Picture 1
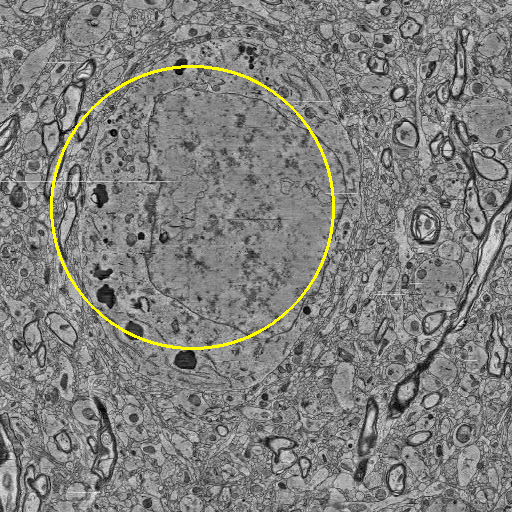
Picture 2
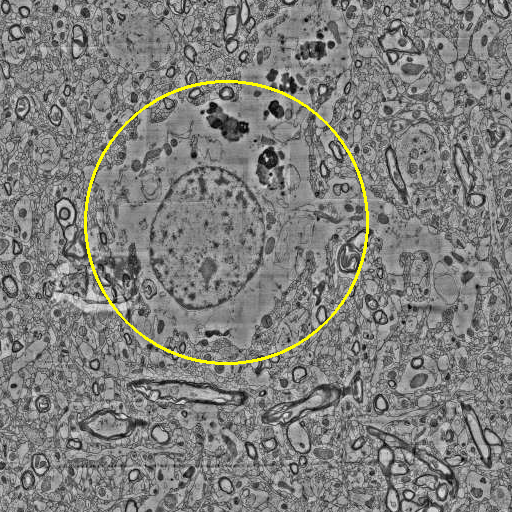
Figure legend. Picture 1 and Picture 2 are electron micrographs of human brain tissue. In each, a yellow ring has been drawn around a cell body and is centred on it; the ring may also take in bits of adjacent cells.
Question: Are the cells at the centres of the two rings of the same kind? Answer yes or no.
no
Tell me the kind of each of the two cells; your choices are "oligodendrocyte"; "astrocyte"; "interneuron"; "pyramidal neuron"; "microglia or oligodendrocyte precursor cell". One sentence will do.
The ringed cell is a pyramidal neuron in the first picture and an astrocyte in the second picture.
